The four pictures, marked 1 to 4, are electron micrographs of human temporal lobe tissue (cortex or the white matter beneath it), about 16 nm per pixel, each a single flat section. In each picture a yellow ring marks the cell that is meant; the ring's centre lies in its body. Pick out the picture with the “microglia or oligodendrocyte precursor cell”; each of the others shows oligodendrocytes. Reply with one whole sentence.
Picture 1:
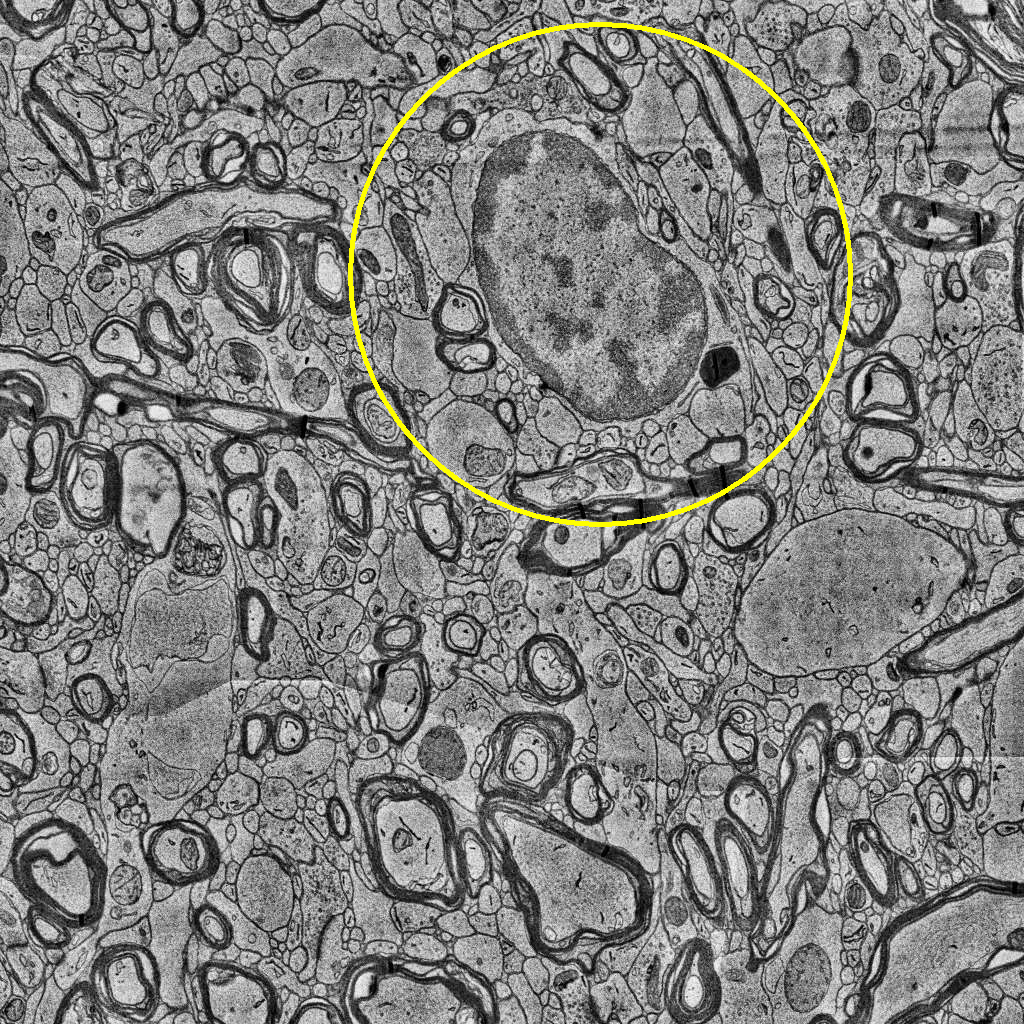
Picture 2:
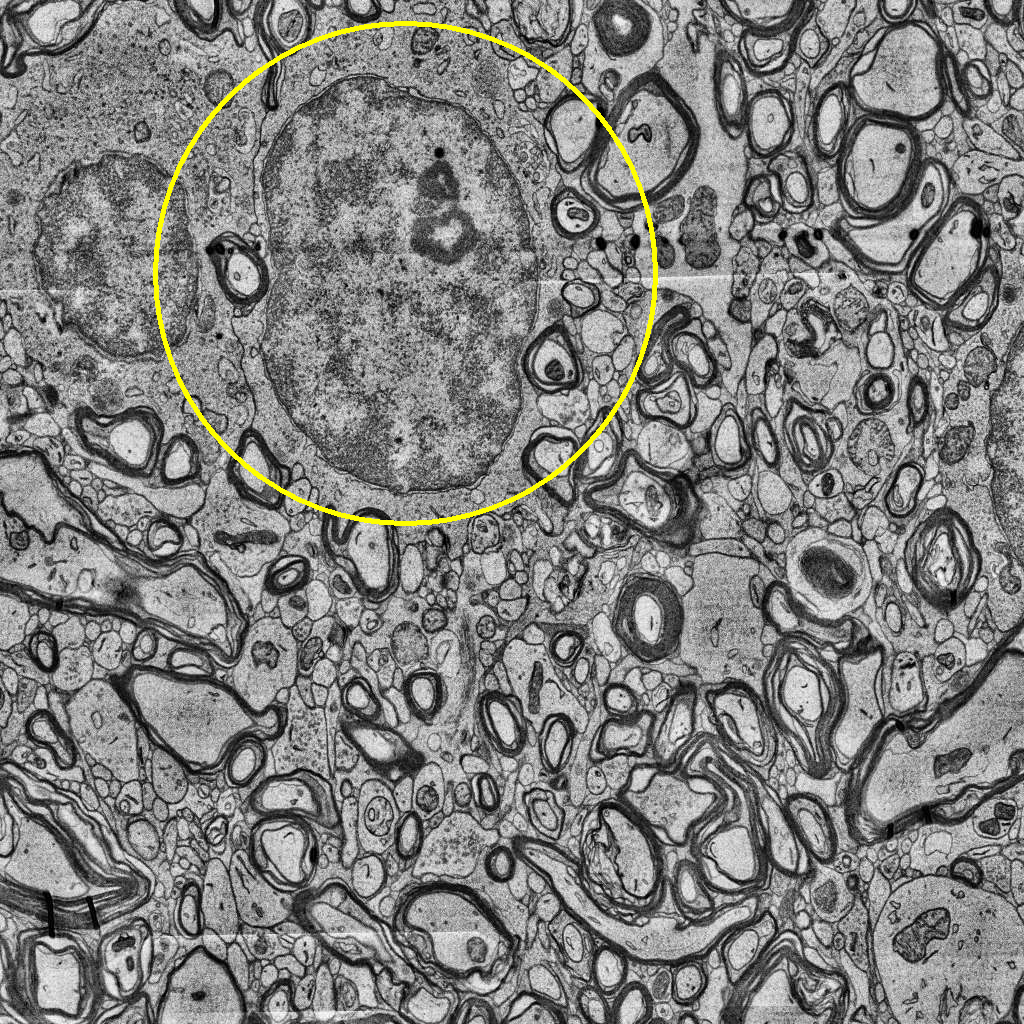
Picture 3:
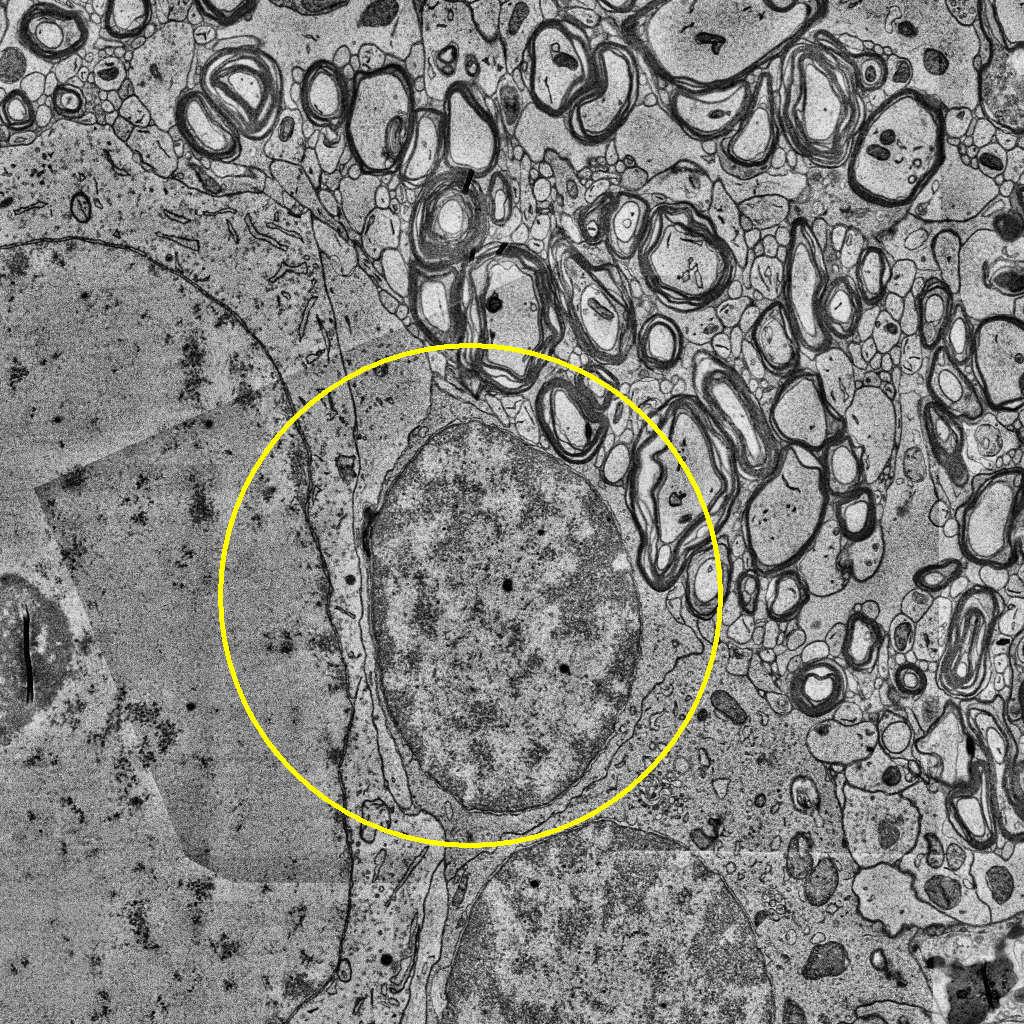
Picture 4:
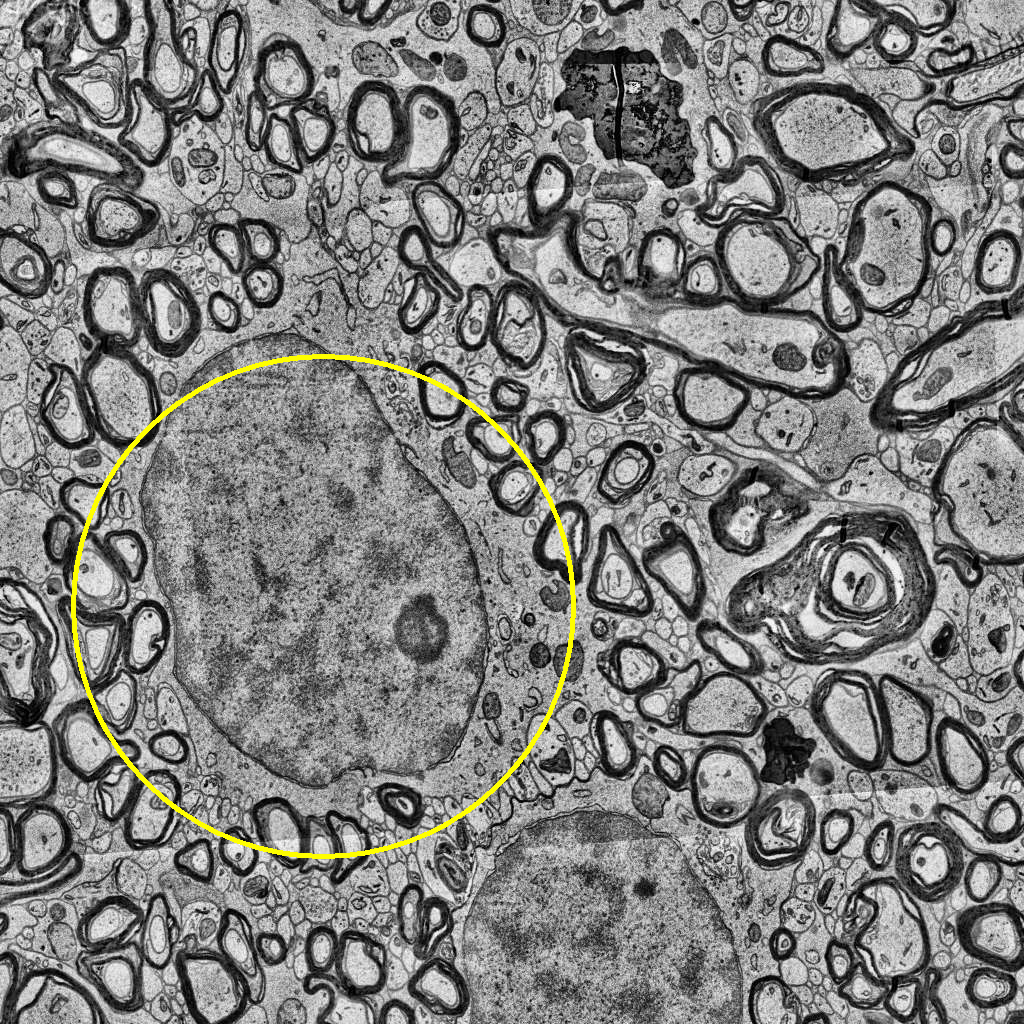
The “microglia or oligodendrocyte precursor cell” is the one in picture 1.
